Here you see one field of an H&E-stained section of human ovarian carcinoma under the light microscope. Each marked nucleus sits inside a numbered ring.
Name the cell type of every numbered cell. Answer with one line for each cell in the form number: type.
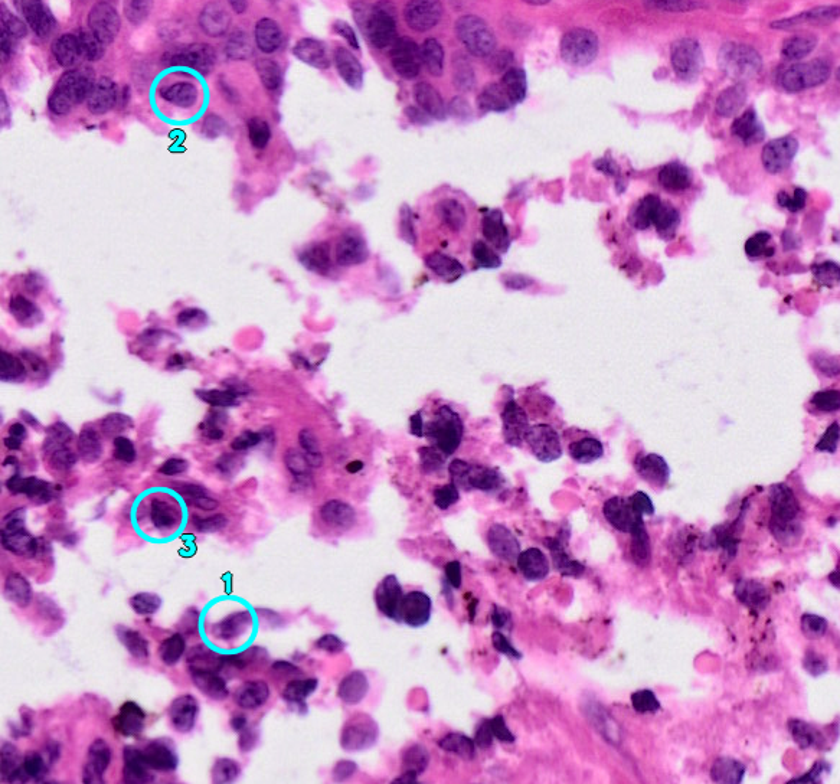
1: carcinoma cell
2: macrophage or monocyte
3: macrophage or monocyte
